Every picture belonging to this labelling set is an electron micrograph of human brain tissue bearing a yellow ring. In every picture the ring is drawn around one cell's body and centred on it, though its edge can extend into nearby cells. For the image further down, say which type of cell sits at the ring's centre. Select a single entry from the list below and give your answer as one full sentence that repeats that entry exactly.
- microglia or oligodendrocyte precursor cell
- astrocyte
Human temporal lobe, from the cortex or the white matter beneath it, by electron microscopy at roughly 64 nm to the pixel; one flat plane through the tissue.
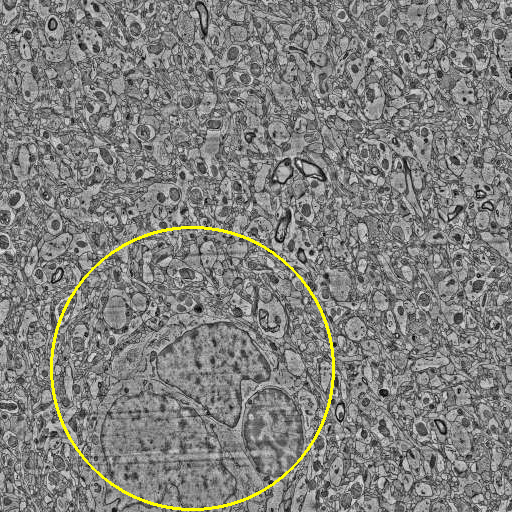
In the picture, a microglial cell or oligodendrocyte precursor cell is the cell at the centre of the yellow ring.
